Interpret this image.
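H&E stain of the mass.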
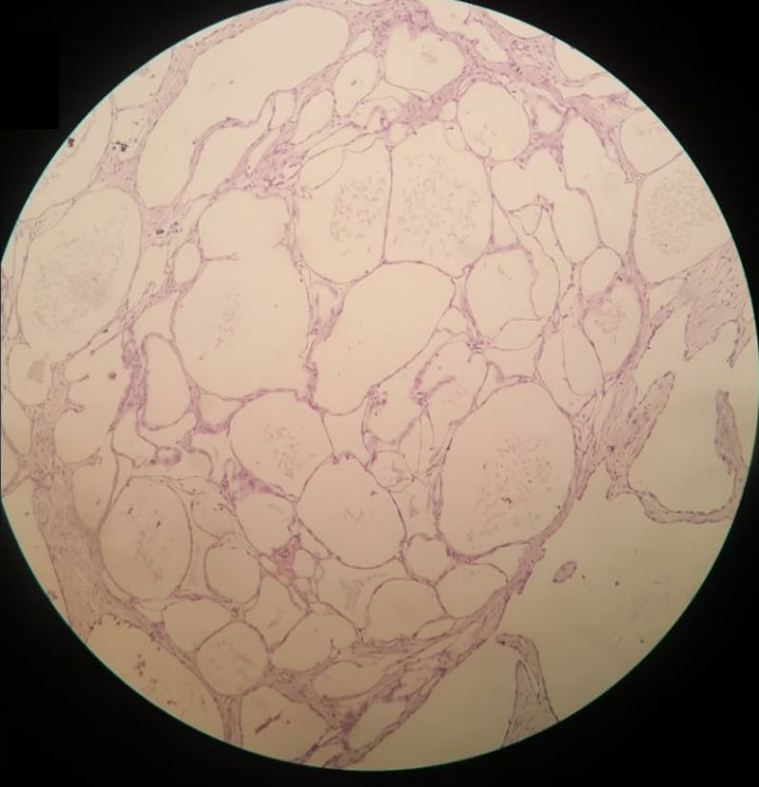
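Multiple cystic cavities of varying size, seen at lower magnification. The rounded and polygonal spaces are closely packed and separated by thin pink fibrous septa. Many of the cavities contain faint, pale pink granular material. Broader bands of pale fibrous tissue lie between some groups of cavities and at the edges of the field. The overall pattern is a sponge-like, multilocular arrangement of cysts.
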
